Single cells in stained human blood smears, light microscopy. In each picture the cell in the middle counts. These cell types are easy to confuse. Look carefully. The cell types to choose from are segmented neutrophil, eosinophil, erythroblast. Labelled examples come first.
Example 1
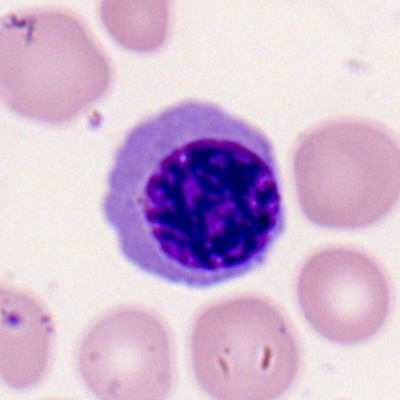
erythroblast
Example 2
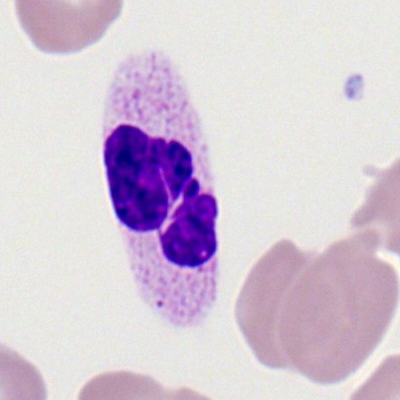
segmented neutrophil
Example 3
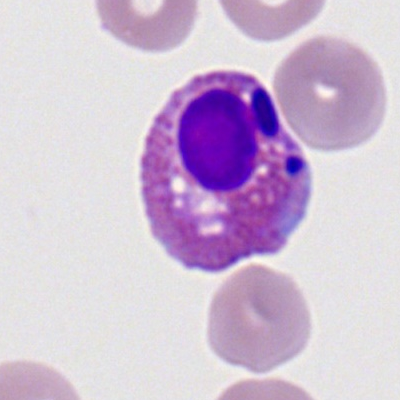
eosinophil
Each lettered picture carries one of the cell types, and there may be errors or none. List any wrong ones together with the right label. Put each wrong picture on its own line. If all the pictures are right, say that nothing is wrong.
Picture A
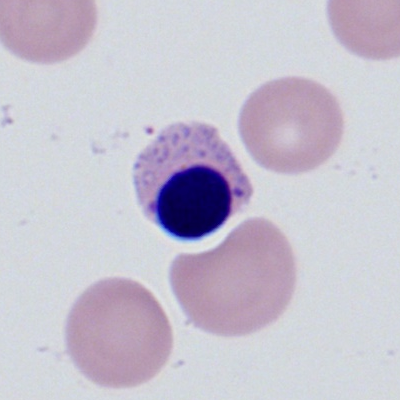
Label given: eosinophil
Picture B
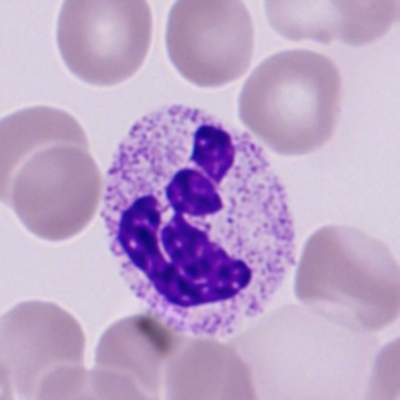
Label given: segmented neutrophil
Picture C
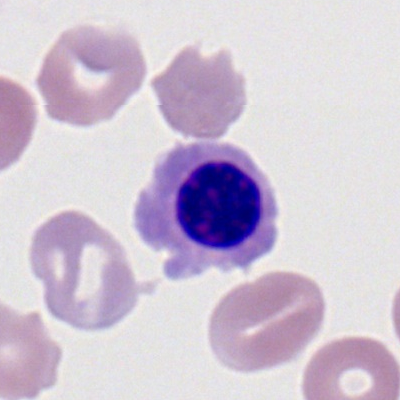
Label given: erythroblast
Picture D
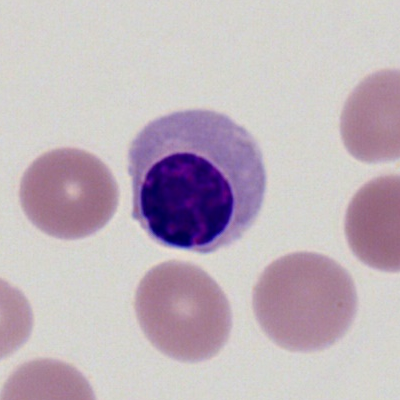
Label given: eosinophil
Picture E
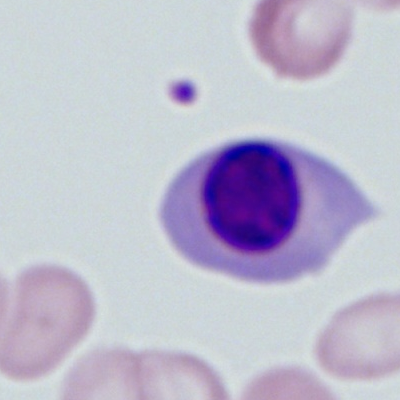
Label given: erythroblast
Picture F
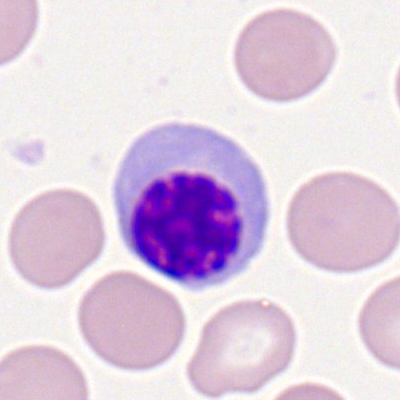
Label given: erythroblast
A should be erythroblast, not eosinophil
D should be erythroblast, not eosinophil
